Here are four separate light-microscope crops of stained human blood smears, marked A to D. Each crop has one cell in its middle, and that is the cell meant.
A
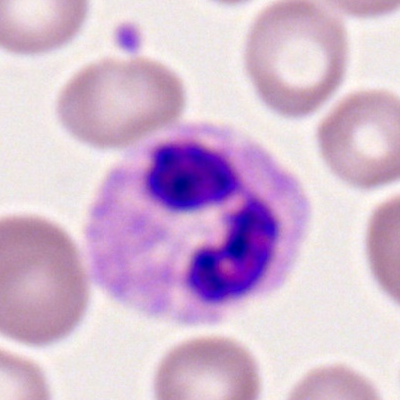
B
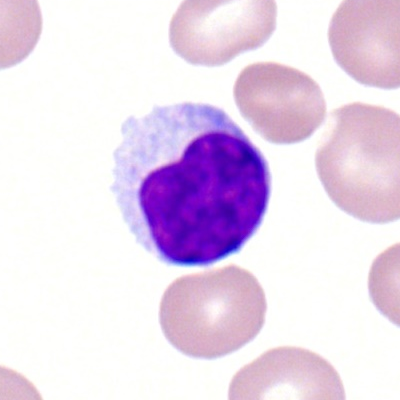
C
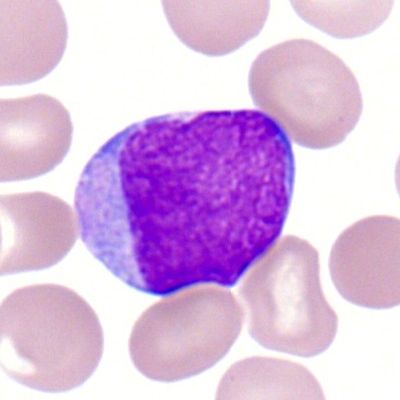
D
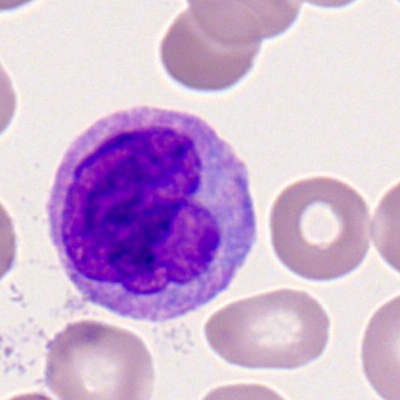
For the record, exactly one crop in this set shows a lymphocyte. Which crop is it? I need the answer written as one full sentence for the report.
Crop B is the single crop that shows a lymphocyte.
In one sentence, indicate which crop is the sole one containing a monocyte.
It is crop D that shows a monocyte.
